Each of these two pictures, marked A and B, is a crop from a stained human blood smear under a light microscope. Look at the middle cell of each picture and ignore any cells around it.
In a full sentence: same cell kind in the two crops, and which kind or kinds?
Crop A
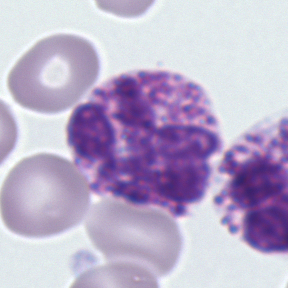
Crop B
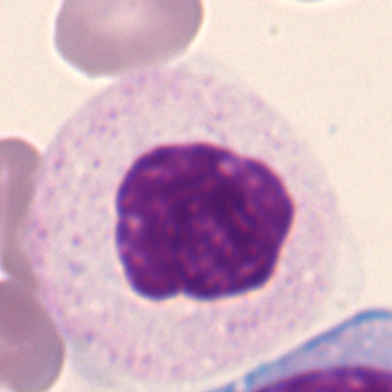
No, that is not right; crop A shows a basophil and crop B shows a segmented neutrophil.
